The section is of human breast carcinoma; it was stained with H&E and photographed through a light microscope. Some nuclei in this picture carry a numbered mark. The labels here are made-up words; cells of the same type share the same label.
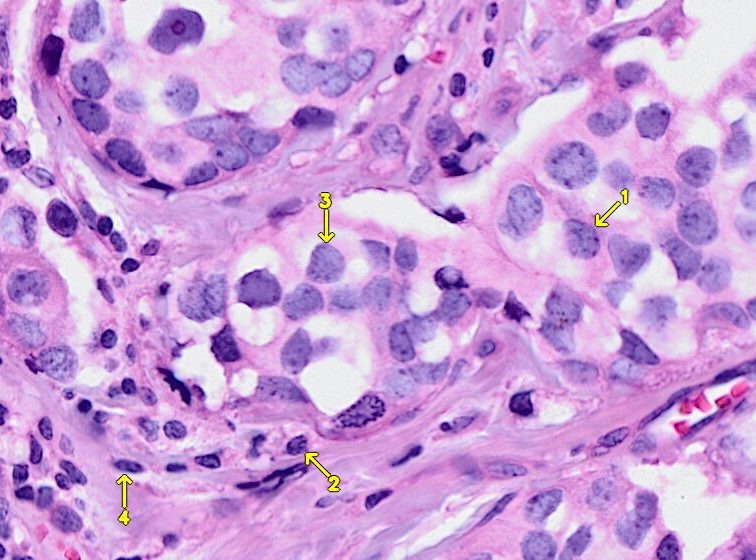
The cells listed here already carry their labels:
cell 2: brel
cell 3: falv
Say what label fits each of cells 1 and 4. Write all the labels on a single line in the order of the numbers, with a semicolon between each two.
falv; brel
